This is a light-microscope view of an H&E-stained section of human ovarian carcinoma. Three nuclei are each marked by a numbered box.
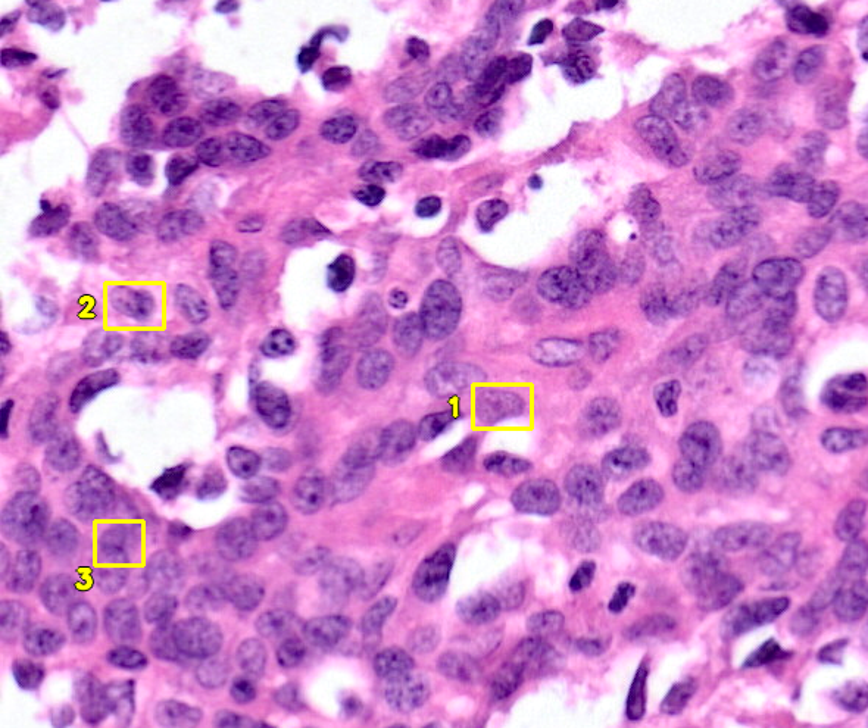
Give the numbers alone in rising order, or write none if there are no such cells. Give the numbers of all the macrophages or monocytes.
2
